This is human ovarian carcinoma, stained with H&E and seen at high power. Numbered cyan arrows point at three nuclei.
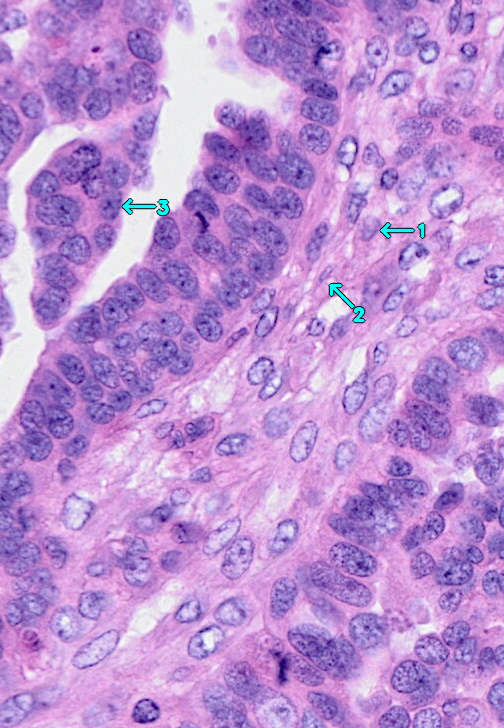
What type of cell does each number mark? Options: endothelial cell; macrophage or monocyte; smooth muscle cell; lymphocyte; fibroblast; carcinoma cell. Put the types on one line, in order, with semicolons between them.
fibroblast; fibroblast; carcinoma cell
